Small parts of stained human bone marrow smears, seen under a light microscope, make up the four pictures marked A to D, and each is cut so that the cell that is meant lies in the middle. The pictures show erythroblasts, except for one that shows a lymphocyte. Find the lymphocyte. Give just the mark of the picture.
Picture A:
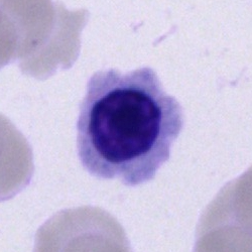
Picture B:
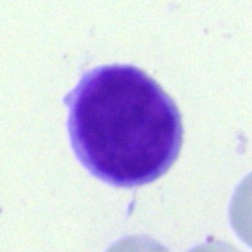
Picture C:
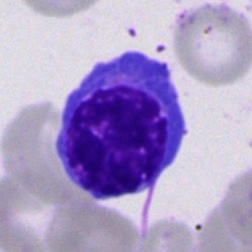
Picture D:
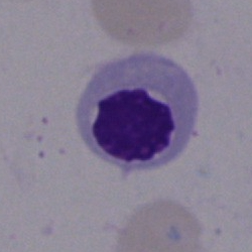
B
